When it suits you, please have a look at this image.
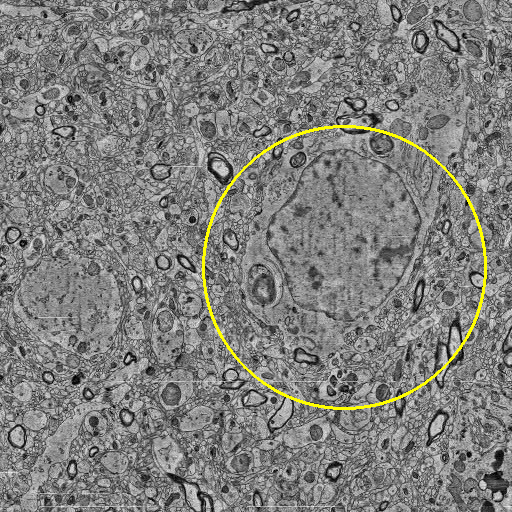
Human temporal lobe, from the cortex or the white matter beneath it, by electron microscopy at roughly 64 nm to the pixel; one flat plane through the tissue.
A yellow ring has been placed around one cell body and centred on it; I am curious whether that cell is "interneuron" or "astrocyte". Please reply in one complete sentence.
The ringed cell, an astrocyte, has its body at the centre of the yellow ring.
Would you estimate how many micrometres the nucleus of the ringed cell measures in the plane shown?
In this plane, approximately 11 by 10 micrometers.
